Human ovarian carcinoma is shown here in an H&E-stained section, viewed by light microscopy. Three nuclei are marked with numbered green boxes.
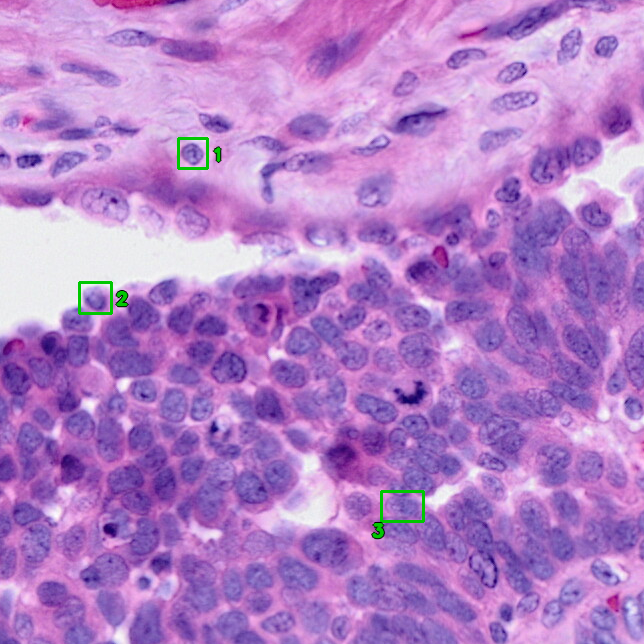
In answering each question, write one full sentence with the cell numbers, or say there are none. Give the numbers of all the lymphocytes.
Only number 1 of the marked cells is a lymphocyte.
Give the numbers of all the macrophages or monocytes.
Cell number 2 alone is a macrophage or monocyte; the rest are not.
